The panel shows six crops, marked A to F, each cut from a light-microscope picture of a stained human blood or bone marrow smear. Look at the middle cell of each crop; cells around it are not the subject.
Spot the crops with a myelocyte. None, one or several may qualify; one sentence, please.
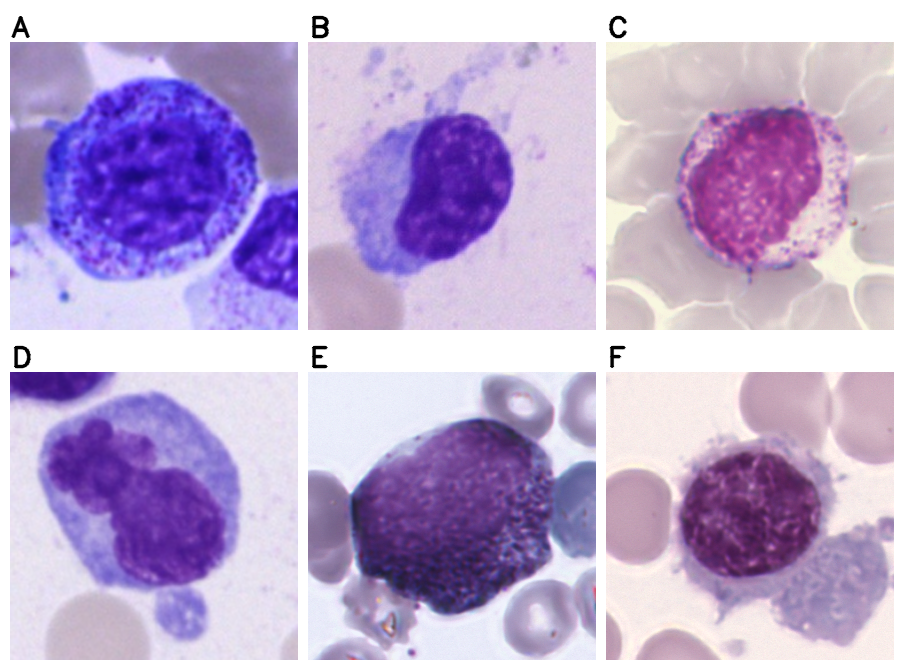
Crop C and no other crop shows a myelocyte.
